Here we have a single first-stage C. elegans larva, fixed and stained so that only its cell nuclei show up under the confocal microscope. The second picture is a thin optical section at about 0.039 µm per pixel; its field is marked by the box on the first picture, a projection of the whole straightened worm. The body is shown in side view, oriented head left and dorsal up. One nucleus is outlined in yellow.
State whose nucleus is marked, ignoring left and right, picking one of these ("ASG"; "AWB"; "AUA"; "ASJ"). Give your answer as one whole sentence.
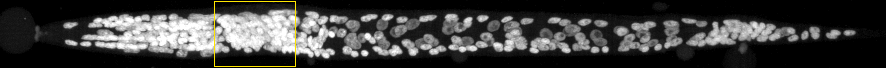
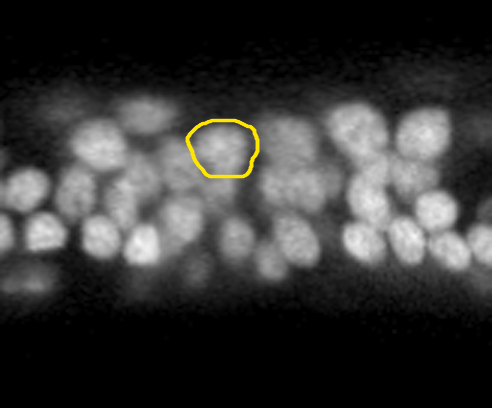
The marked nucleus is that of AWB, a neuron.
